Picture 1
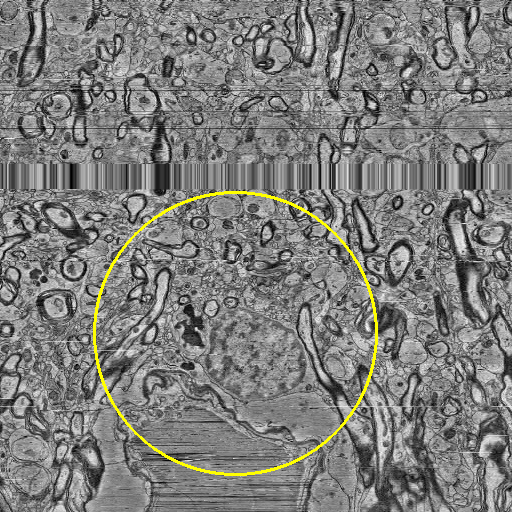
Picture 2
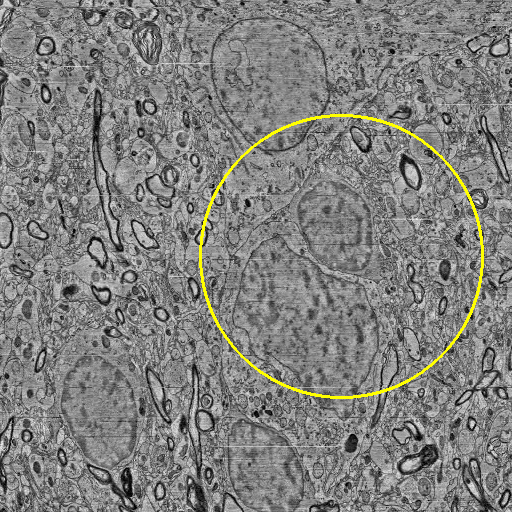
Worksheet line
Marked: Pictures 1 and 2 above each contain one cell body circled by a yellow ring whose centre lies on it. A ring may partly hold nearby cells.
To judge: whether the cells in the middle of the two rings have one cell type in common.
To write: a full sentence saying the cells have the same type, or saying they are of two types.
The cells in the middle of the rings in Picture 1 and Picture 2 have the same type.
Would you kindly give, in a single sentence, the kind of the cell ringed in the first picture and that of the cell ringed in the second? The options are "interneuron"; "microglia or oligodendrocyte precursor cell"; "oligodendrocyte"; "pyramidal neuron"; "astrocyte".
The second cell is an oligodendrocyte, just as the first is.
